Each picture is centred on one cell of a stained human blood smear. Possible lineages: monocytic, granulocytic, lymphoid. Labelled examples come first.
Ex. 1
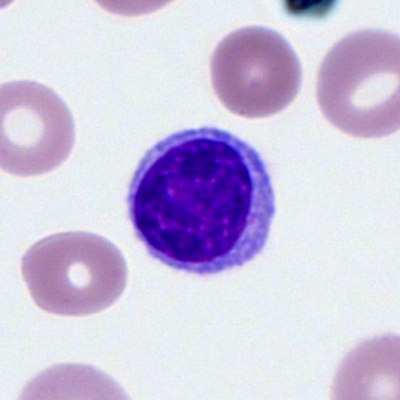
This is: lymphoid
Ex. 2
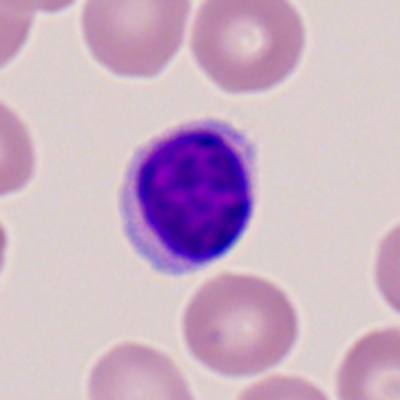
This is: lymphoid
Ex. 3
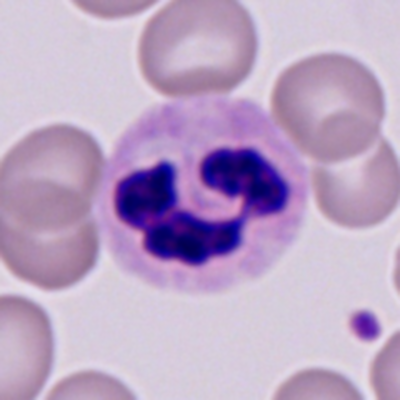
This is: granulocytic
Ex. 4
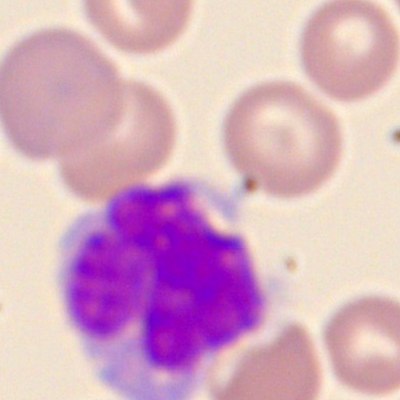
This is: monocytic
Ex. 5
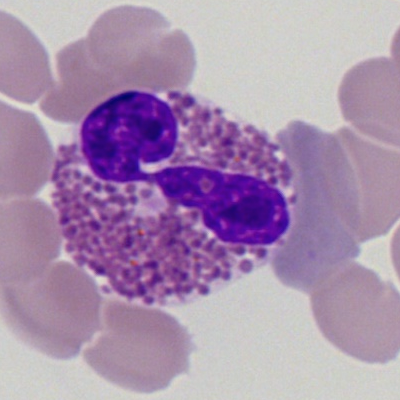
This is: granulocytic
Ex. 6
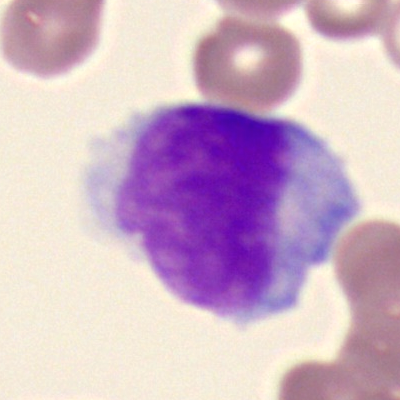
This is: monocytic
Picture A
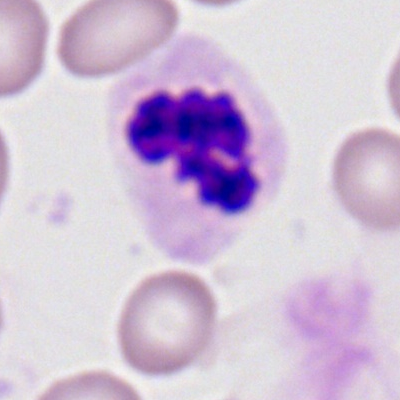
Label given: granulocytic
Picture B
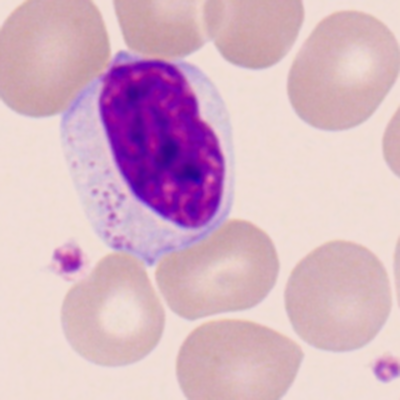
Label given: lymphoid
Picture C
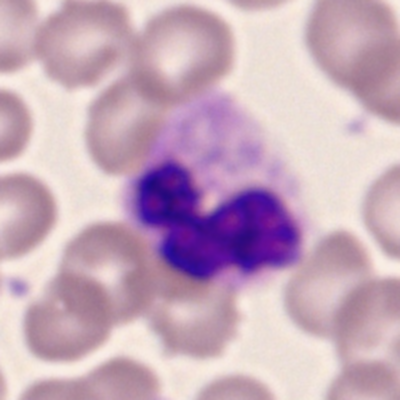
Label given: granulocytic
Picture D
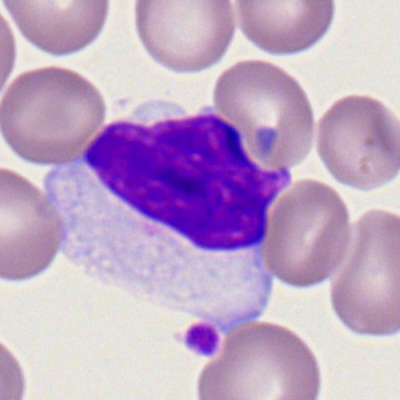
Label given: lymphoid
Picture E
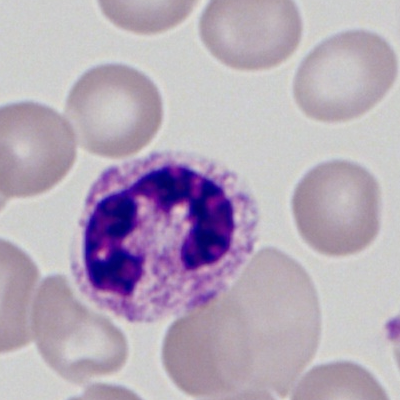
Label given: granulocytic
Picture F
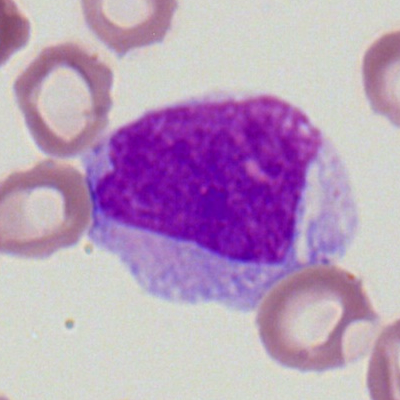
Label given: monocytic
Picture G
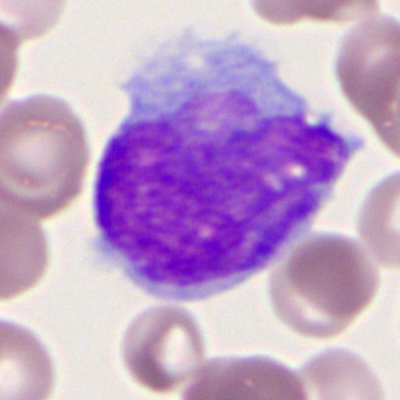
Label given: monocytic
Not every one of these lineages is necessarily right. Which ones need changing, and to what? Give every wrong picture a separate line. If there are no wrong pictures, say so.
None of the labels needs changing.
